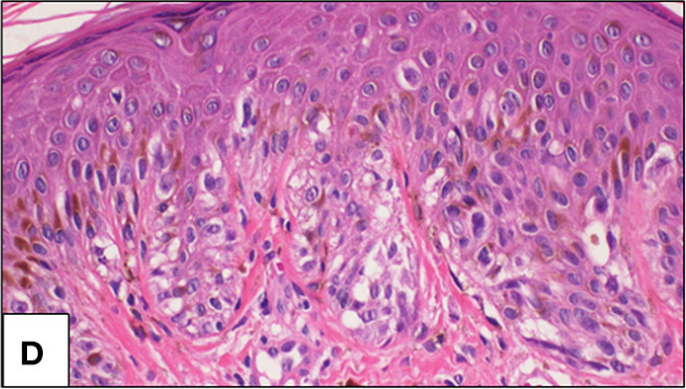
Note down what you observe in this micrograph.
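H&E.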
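This is epidermis with its rete ridges, in which many single atypical melanocytic cells grow along the lower layers and some lie higher up. Brown pigment granules are dotted through the lower epidermis. Thin pink collagen of the papillary dermis lies between the ridges.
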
